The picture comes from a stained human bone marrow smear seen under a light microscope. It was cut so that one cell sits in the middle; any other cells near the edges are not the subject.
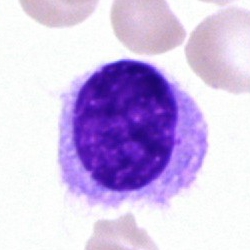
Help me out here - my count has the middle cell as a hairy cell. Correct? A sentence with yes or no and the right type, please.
Yes, the cell at the heart of the crop is a hairy cell.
